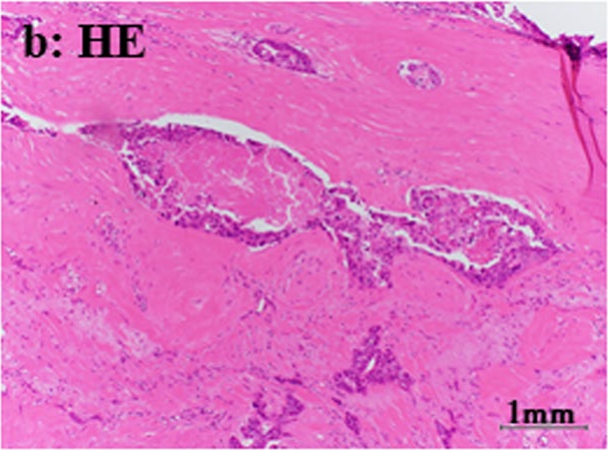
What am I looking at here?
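The largest nest has a center filled with pale pink, granular, necrotic debris, surrounded by a rim of tumor cells with dark purple nuclei, which is comedo necrosis. A cleft separates the nest from the stroma around it. Smaller tumor nests and glandular clusters lie scattered in the stroma nearby.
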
